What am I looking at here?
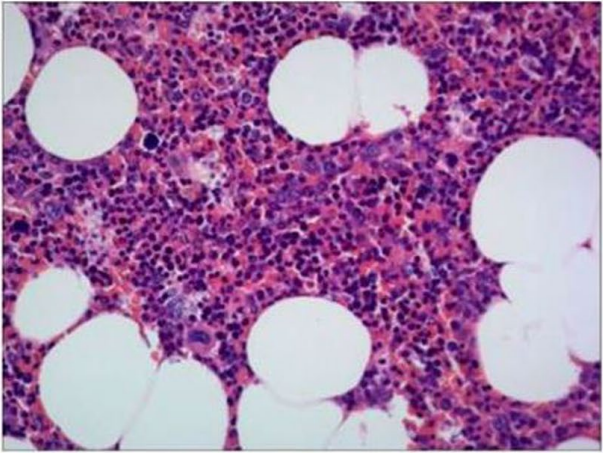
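This section shows hematopoietic tissue intermixed with adipocytes. Large round clear spaces with thin walls are fat cells, some lying in clusters, scattered among sheets of densely packed cells. The cellular tissue between them is made of many small round cells with dark purple nuclei, together with some larger cells that have paler nuclei and more cytoplasm. Pink-red red blood cells fill the gaps between the nucleated cells. One very dark, round, compact nucleus stands out among the paler cells.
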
